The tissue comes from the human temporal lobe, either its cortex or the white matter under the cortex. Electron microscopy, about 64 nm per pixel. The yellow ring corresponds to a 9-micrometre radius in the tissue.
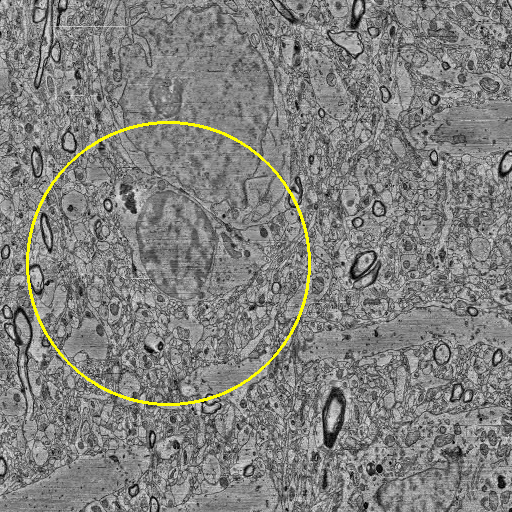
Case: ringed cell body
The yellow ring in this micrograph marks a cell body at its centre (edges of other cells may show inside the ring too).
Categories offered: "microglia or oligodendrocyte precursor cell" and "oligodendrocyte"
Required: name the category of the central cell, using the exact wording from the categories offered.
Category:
oligodendrocyte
